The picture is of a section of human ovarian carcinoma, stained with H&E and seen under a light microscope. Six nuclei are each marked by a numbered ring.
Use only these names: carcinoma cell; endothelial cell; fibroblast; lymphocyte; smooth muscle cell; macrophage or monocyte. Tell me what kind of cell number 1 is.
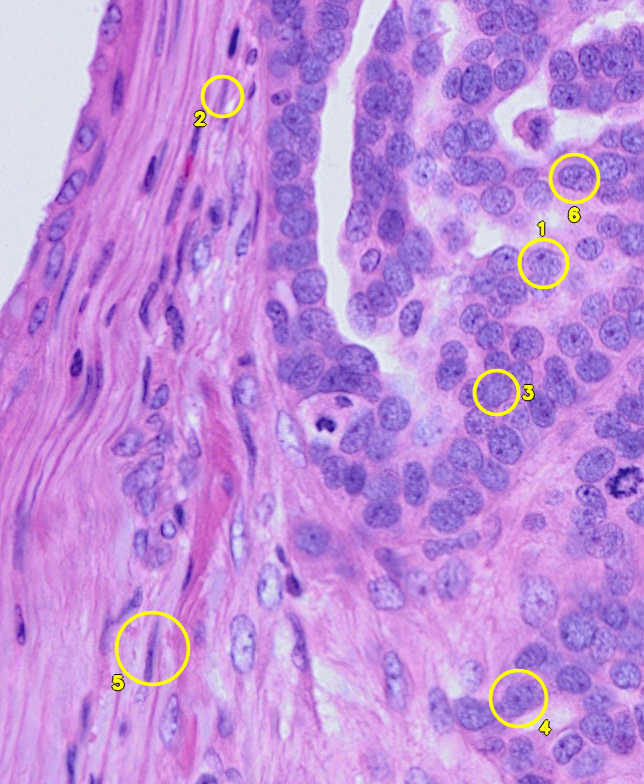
carcinoma cell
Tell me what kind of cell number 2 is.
fibroblast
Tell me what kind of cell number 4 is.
carcinoma cell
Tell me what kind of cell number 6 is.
carcinoma cell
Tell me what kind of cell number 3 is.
carcinoma cell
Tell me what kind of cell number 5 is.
fibroblast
